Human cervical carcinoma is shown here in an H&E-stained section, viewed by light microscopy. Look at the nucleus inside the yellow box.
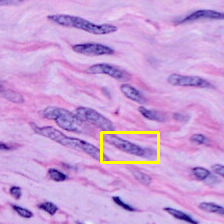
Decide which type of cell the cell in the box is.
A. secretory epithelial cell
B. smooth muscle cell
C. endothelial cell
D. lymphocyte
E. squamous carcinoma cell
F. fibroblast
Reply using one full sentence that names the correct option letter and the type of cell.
The right pick is option B; the cell in the box is a smooth muscle cell.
